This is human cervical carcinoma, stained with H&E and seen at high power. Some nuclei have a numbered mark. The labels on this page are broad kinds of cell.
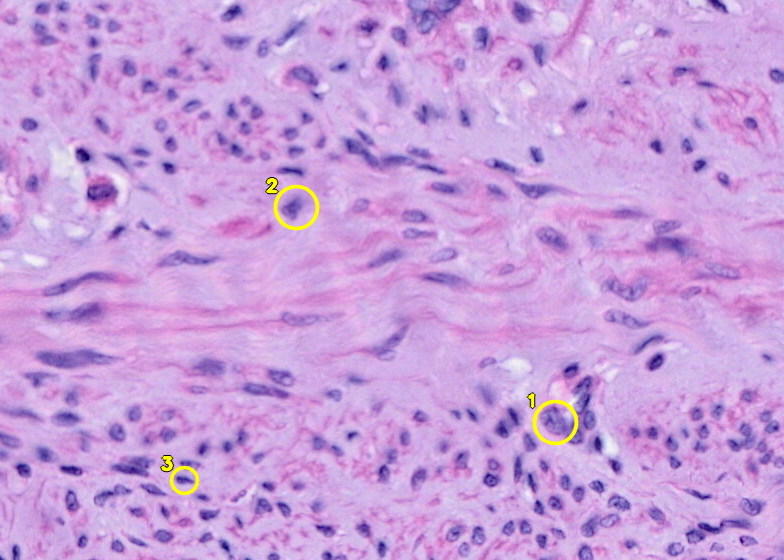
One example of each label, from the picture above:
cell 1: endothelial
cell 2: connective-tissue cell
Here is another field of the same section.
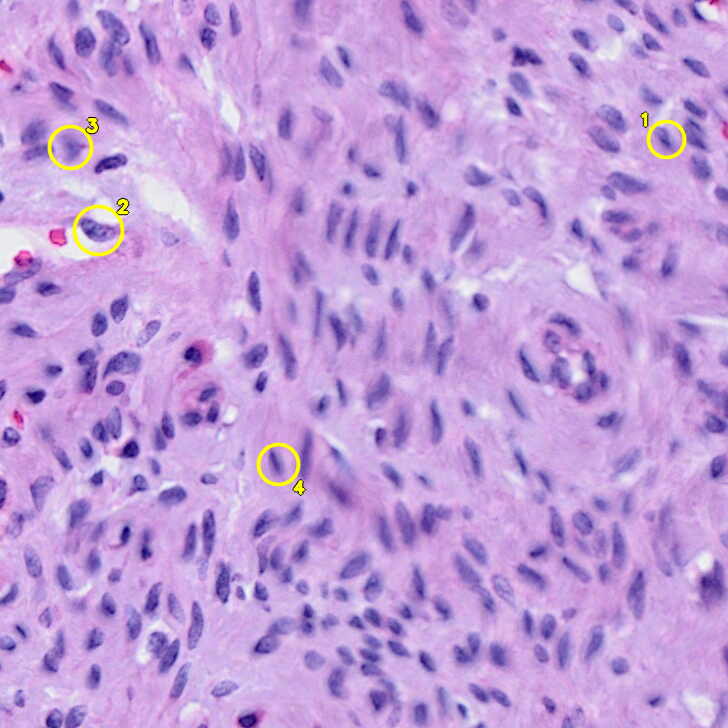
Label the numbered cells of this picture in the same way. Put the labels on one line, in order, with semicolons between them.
connective-tissue cell; endothelial; connective-tissue cell; connective-tissue cell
